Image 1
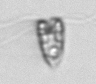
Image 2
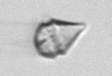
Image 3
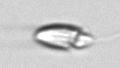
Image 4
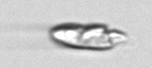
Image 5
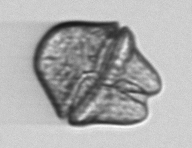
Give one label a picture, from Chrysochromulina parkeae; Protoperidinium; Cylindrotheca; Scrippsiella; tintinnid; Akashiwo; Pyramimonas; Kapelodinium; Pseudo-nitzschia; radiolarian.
1: Pyramimonas
2: Scrippsiella
3: Kapelodinium
4: Kapelodinium
5: Akashiwo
